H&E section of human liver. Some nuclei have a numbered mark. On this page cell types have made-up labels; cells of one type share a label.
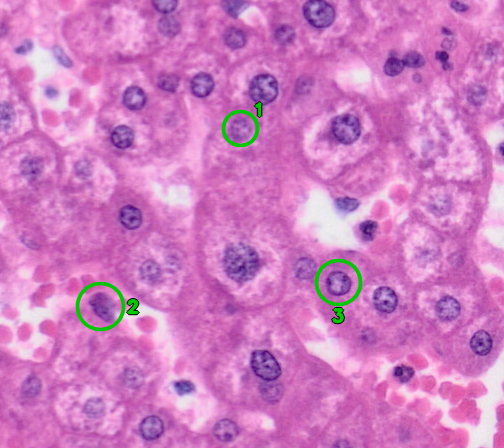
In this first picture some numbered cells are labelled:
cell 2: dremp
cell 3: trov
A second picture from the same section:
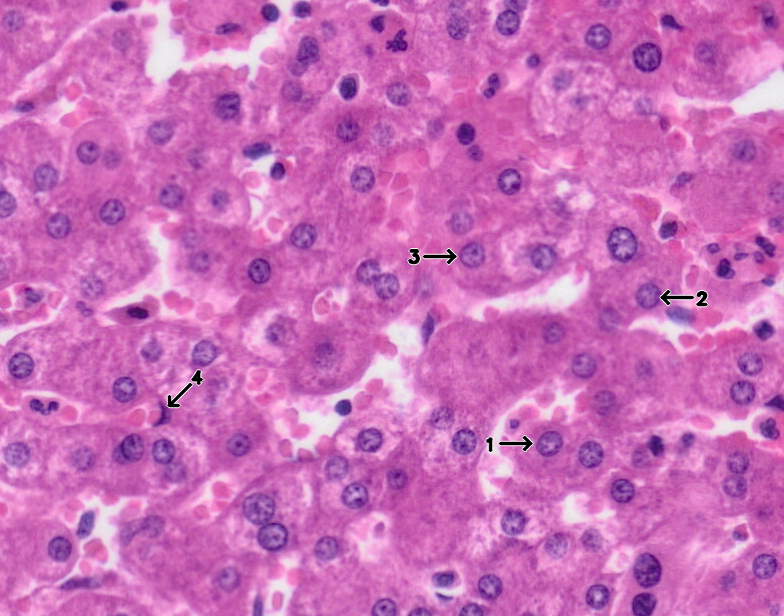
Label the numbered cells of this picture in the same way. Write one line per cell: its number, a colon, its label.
1: trov
2: trov
3: trov
4: dremp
